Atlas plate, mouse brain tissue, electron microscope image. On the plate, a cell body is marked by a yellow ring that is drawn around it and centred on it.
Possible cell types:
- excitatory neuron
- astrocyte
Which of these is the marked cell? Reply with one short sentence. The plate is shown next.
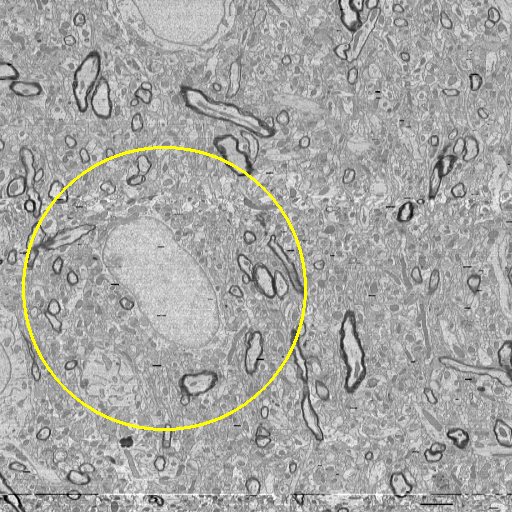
The marked cell is an astrocyte.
